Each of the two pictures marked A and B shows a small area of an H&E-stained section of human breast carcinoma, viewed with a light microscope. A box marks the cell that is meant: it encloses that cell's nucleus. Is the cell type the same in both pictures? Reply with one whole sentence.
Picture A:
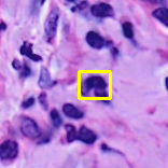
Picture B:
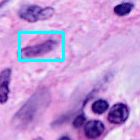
No, the types are not the same, since picture A shows a lymphocyte and picture B a “macrophage, monocyte or dendritic cell”.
